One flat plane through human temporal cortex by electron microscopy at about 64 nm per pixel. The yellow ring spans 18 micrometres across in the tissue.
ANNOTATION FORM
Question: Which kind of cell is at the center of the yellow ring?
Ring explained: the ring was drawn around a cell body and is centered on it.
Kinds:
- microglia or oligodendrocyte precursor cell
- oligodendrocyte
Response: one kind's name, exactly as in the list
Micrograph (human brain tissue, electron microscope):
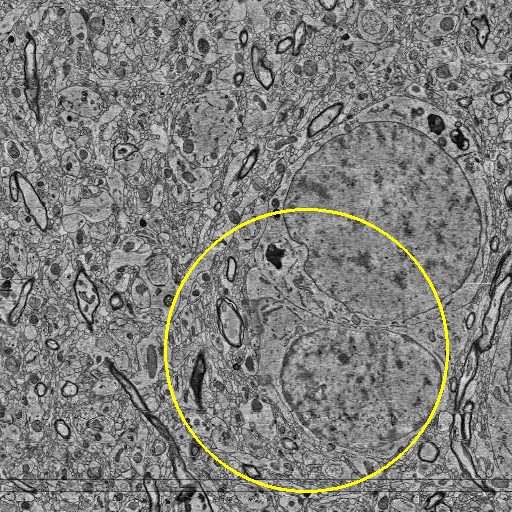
microglia or oligodendrocyte precursor cell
